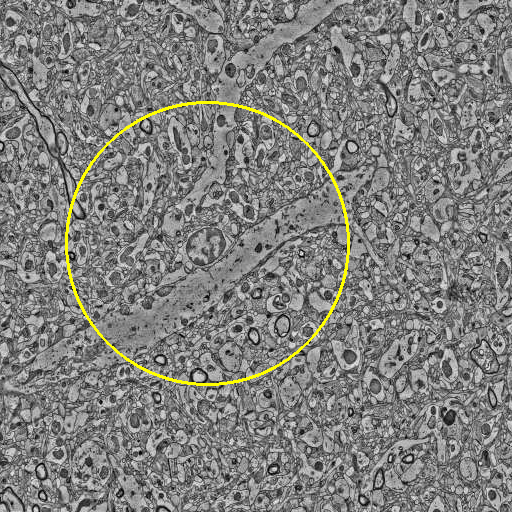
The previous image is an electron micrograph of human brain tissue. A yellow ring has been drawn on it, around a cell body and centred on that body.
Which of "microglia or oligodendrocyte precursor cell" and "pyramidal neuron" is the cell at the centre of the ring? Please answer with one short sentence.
The cell body at the centre of the ring belongs to a microglial cell or oligodendrocyte precursor cell.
